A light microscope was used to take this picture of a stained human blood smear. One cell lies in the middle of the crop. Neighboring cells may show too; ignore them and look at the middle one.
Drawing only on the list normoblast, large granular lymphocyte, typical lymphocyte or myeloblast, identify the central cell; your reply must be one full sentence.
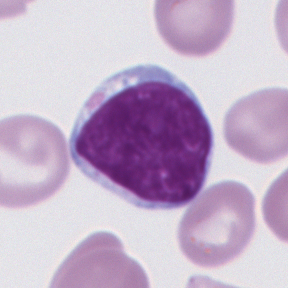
This crop is built around a large granular lymphocyte at its centre.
